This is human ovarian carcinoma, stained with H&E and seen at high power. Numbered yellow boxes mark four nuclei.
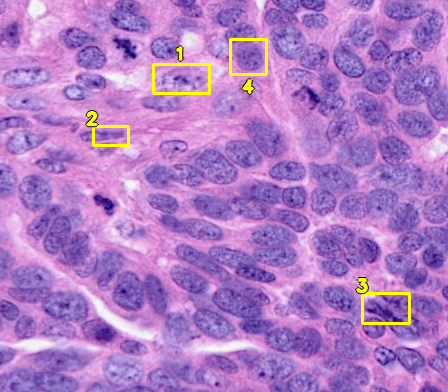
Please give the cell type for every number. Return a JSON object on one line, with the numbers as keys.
{"1": "fibroblast", "2": "fibroblast", "3": "carcinoma cell", "4": "carcinoma cell"}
